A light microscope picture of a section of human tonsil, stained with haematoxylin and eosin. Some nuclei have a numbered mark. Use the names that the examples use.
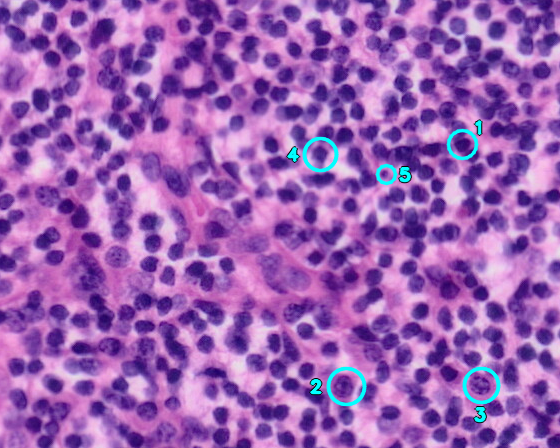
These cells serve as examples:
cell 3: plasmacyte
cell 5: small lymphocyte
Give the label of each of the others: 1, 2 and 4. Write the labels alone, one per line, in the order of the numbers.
small lymphocyte
plasmacyte
small lymphocyte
